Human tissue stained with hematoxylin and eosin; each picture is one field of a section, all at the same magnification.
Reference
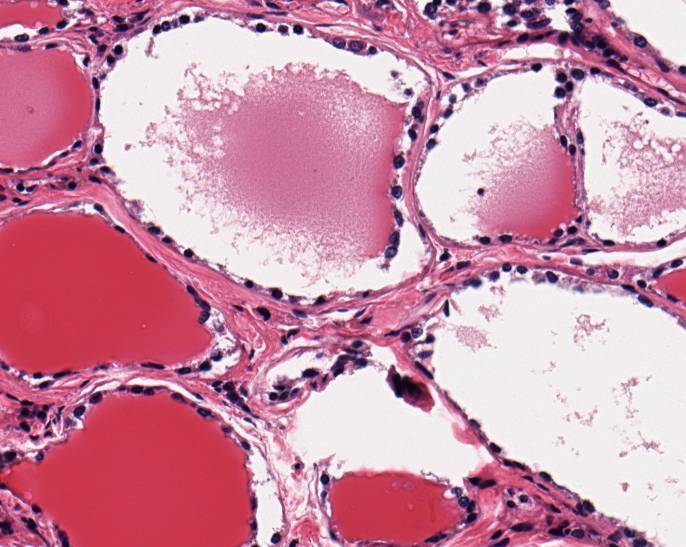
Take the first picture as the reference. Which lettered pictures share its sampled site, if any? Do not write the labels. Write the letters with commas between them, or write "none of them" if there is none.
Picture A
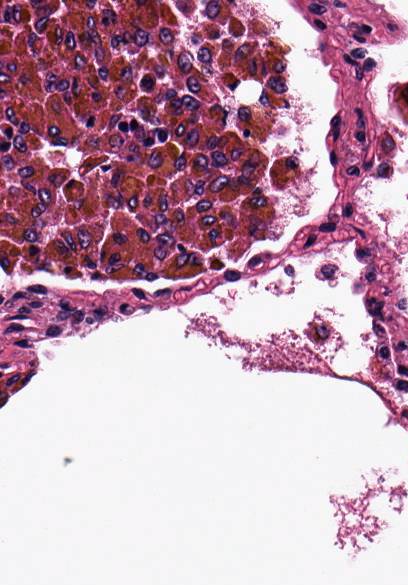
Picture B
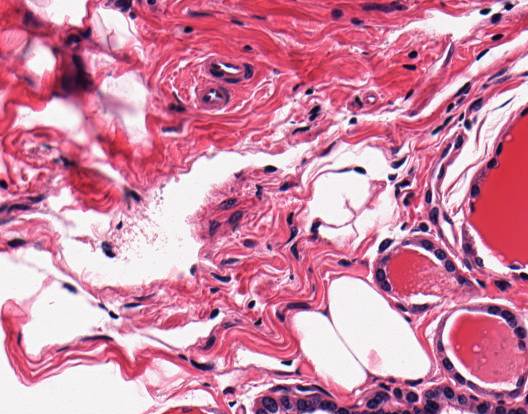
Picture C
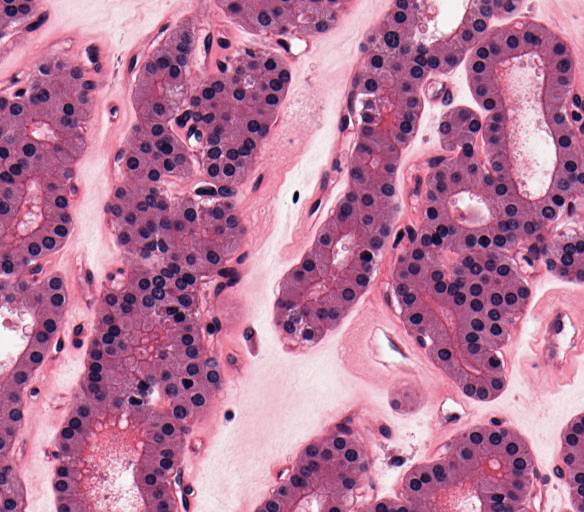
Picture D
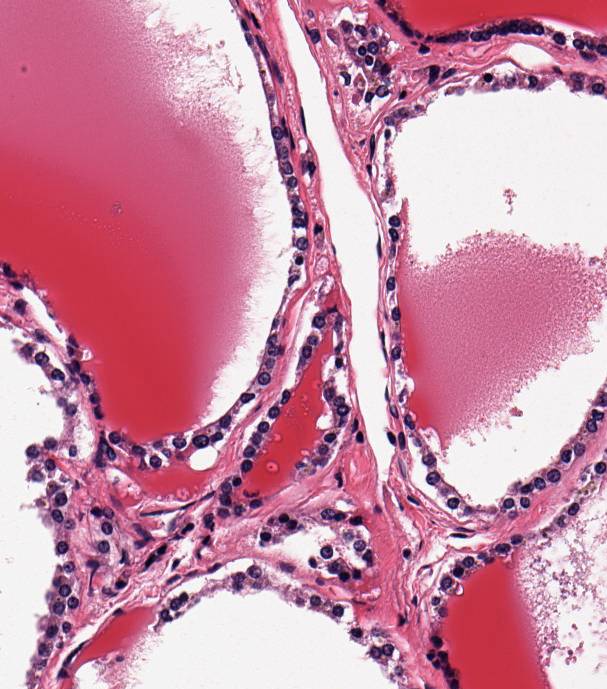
B, C, D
